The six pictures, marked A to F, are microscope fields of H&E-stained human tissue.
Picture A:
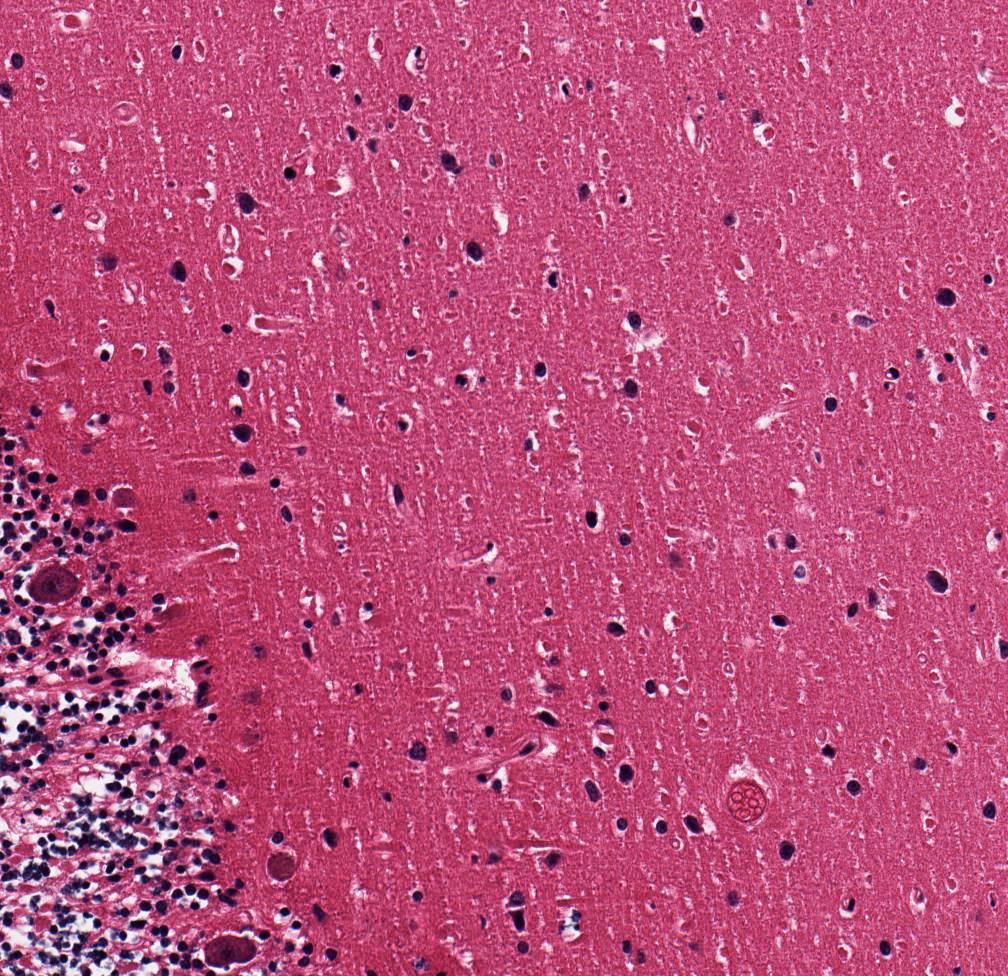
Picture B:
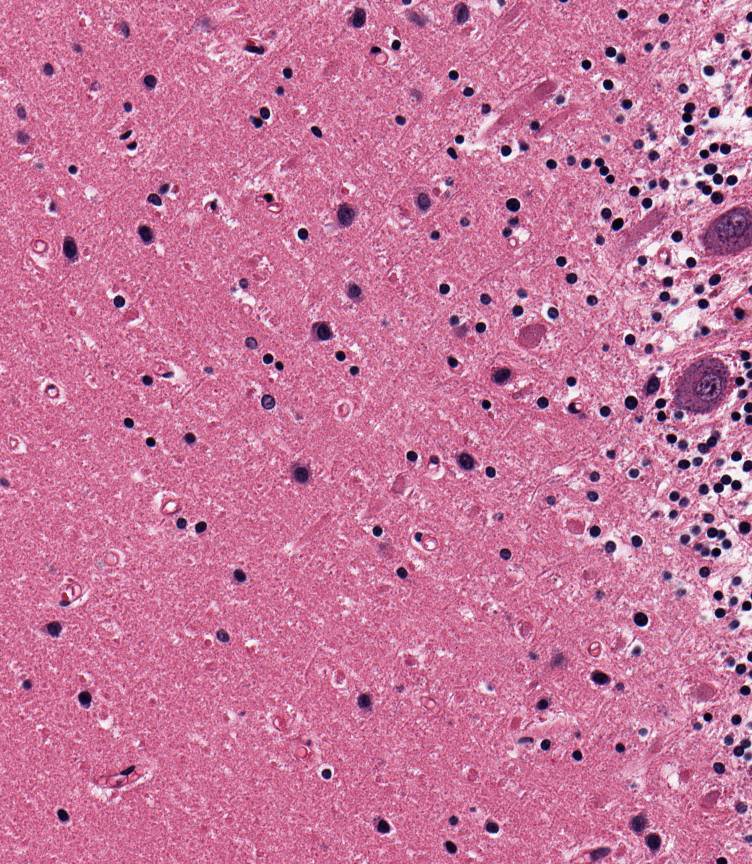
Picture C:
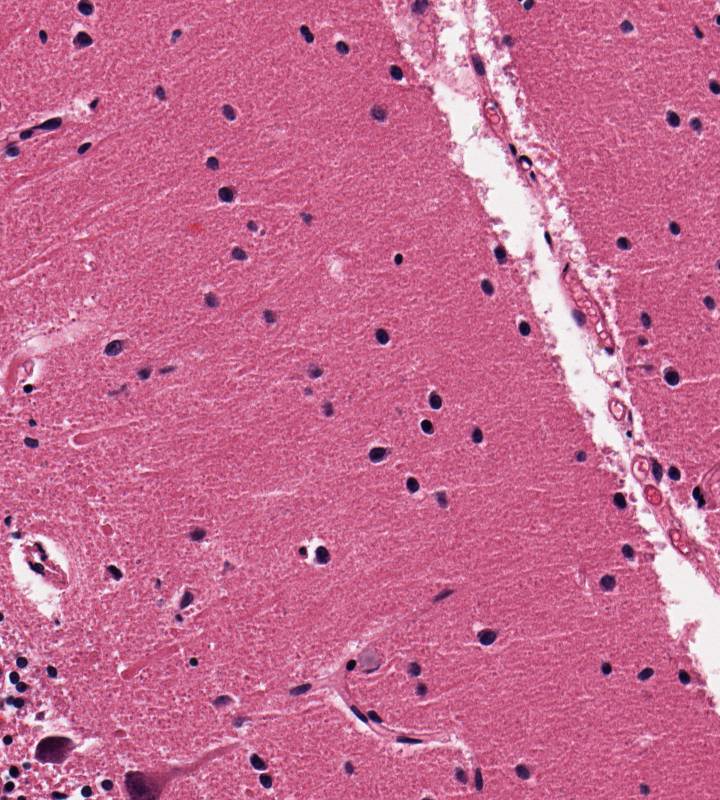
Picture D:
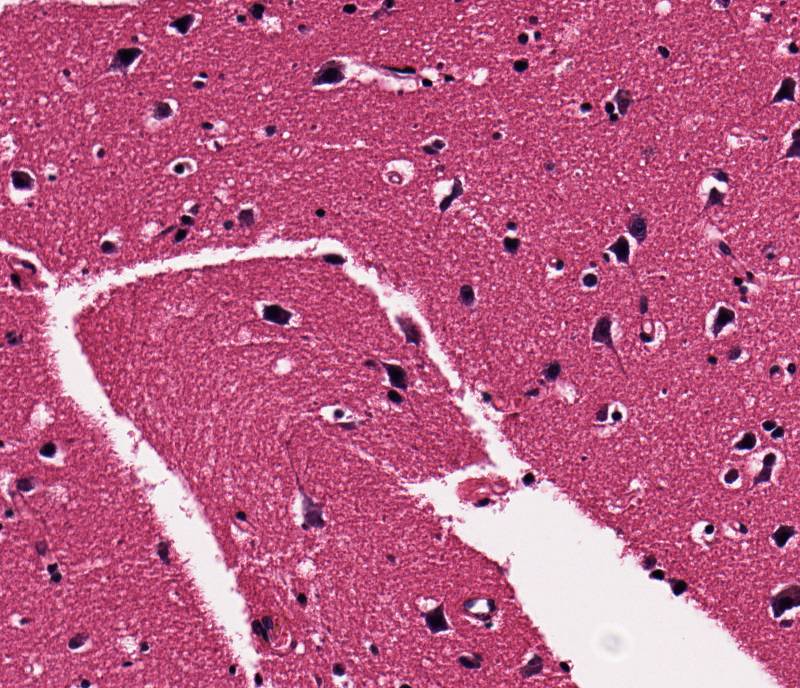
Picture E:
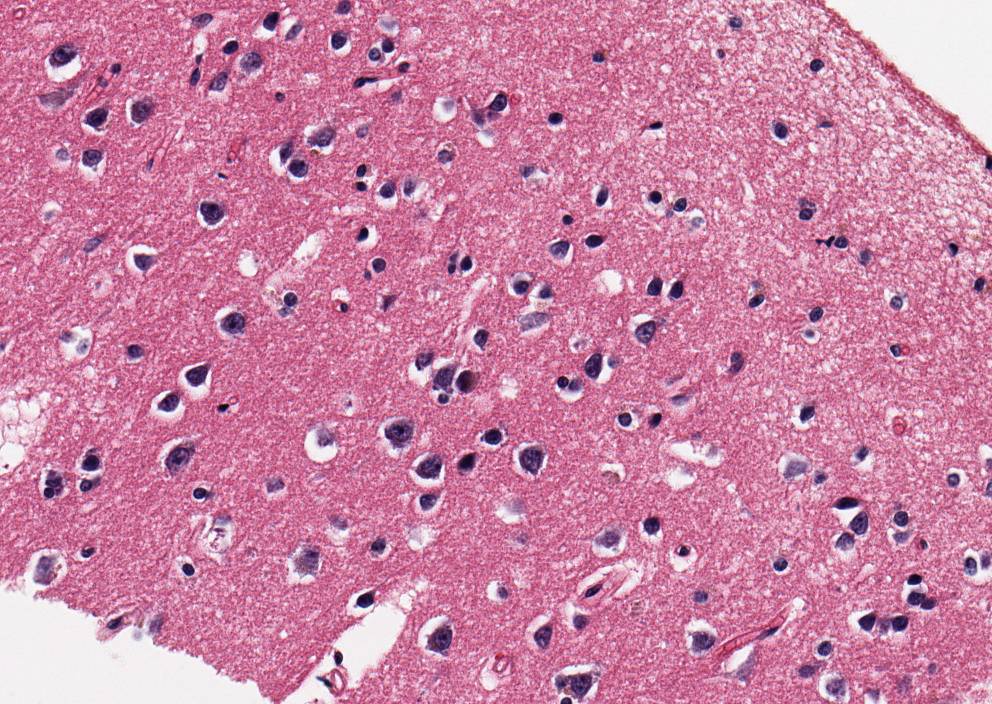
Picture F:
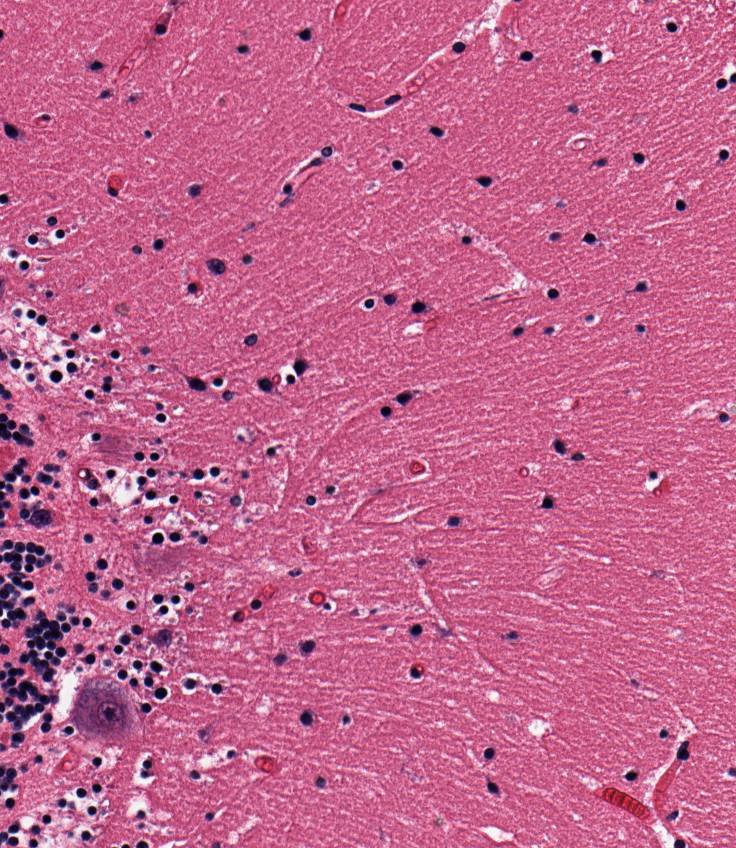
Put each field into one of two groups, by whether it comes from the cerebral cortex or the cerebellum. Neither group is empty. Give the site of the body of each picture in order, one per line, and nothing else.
cerebellum
cerebellum
cerebellum
cerebral cortex
cerebral cortex
cerebellum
